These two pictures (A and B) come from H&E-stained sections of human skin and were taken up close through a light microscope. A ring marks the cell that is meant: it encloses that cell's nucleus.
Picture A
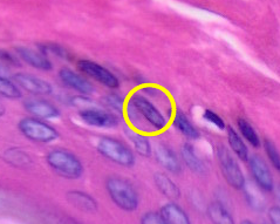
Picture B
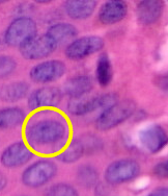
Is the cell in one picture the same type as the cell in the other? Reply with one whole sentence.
No, they differ: the cell is a basal keratinocyte in picture A and a suprabasal keratinocyte in picture B.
